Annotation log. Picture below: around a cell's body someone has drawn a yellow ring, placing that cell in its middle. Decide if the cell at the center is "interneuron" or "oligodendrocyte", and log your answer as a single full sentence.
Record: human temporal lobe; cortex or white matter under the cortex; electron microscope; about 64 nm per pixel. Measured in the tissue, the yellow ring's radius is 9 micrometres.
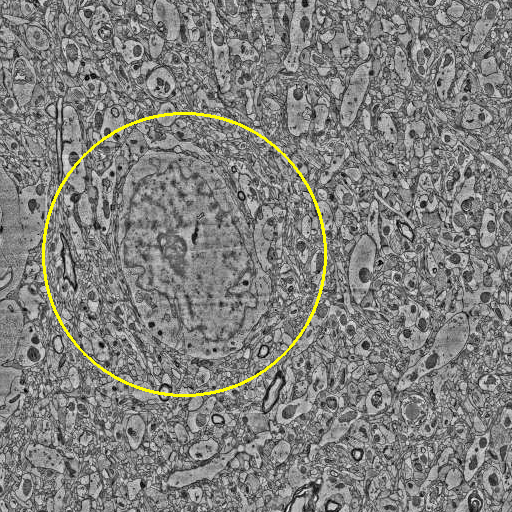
My entry records an interneuron as the cell sitting at the center of the yellow ring.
